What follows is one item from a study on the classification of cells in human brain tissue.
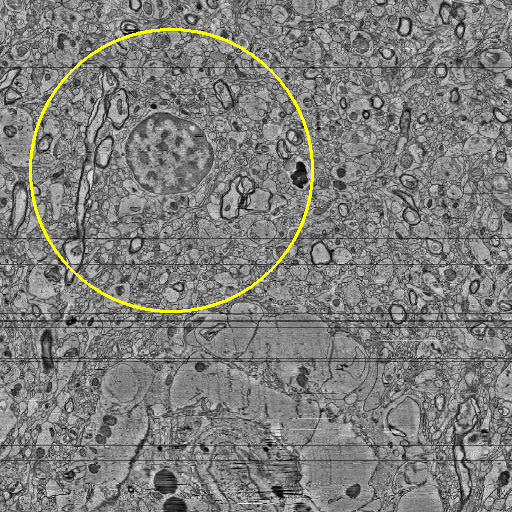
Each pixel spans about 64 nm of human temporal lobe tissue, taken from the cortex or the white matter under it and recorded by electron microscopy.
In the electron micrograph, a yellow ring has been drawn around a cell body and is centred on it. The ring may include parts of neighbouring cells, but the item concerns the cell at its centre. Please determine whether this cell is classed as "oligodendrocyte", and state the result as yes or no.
no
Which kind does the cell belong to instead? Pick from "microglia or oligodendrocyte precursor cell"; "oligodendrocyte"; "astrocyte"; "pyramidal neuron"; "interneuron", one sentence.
The ringed cell in this picture is, instead, a microglial cell or oligodendrocyte precursor cell.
